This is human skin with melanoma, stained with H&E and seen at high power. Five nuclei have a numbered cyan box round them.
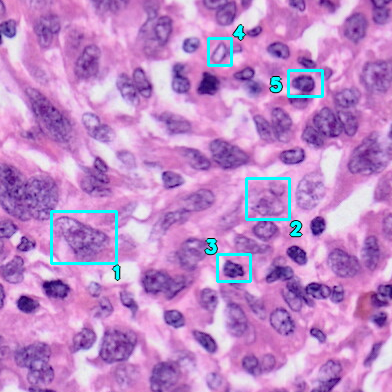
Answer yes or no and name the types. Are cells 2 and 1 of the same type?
Yes, both are melanoma cells.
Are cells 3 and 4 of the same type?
No, cell 3 is a lymphocyte and cell 4 is an endothelial cell.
